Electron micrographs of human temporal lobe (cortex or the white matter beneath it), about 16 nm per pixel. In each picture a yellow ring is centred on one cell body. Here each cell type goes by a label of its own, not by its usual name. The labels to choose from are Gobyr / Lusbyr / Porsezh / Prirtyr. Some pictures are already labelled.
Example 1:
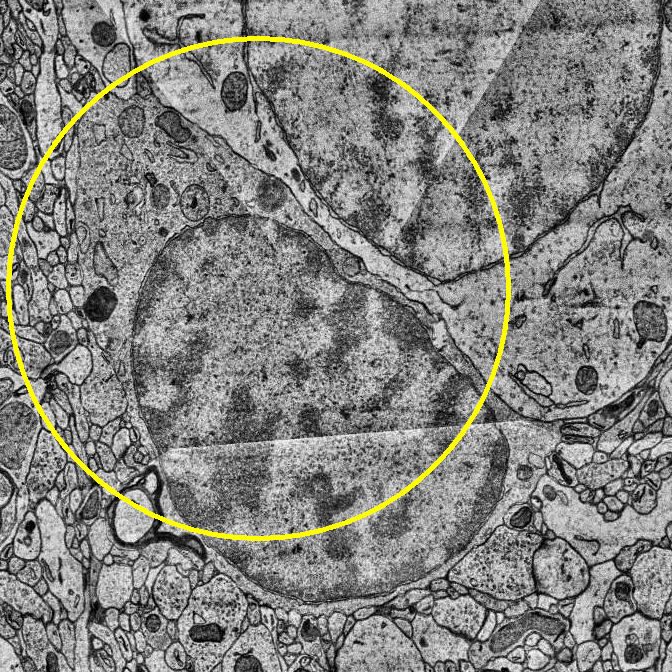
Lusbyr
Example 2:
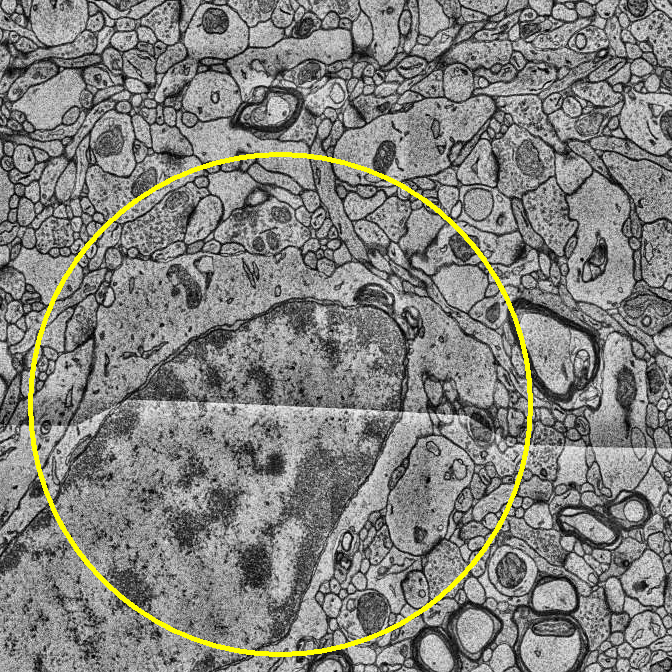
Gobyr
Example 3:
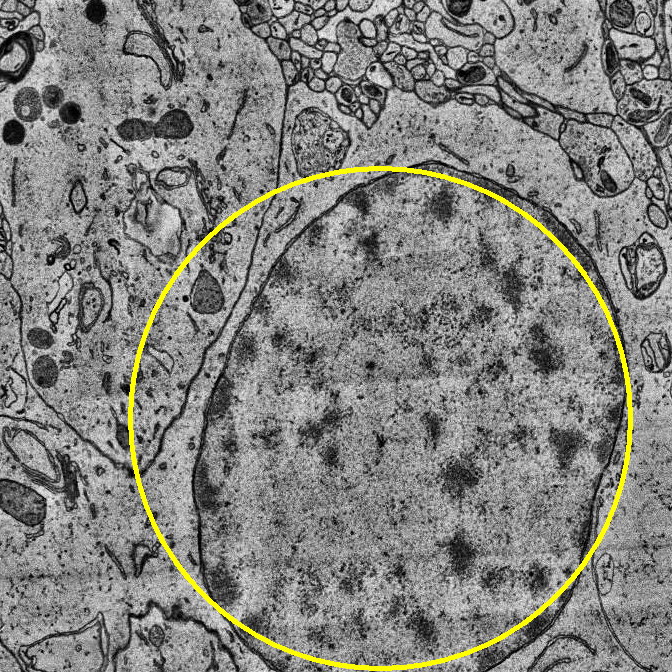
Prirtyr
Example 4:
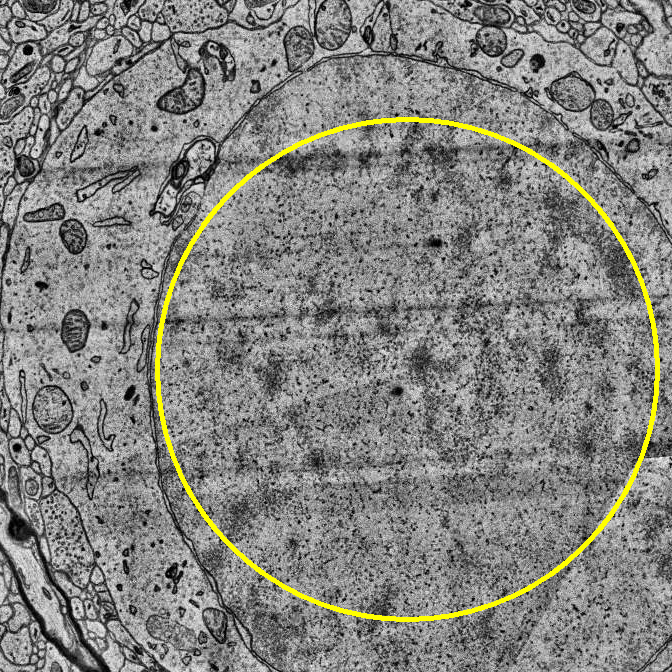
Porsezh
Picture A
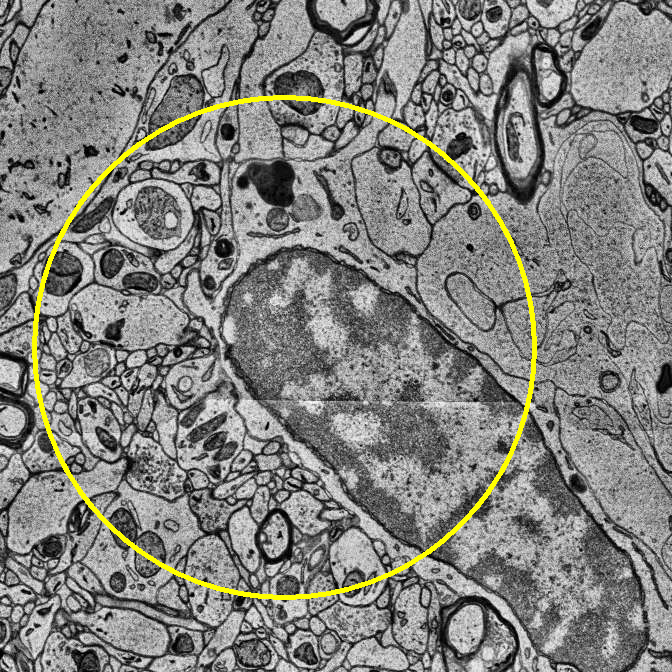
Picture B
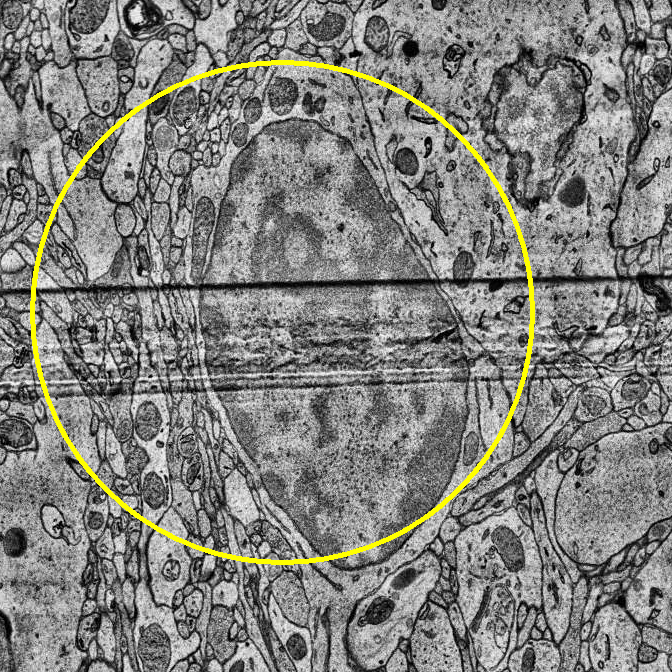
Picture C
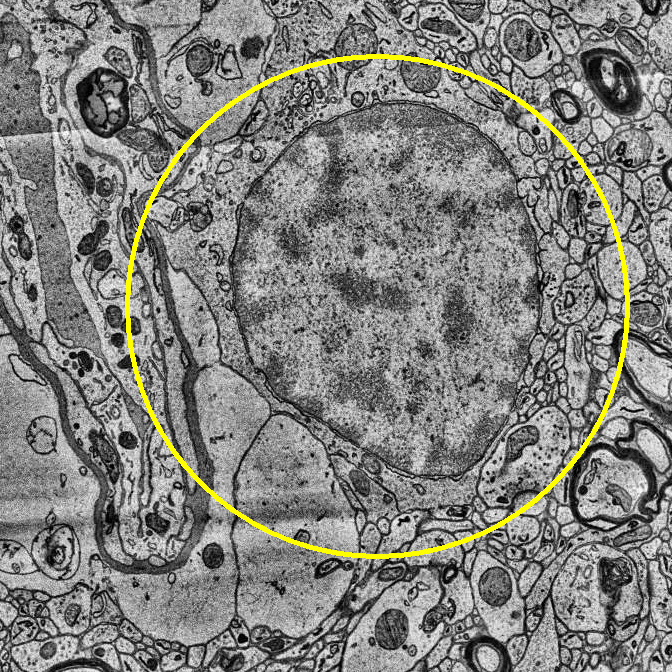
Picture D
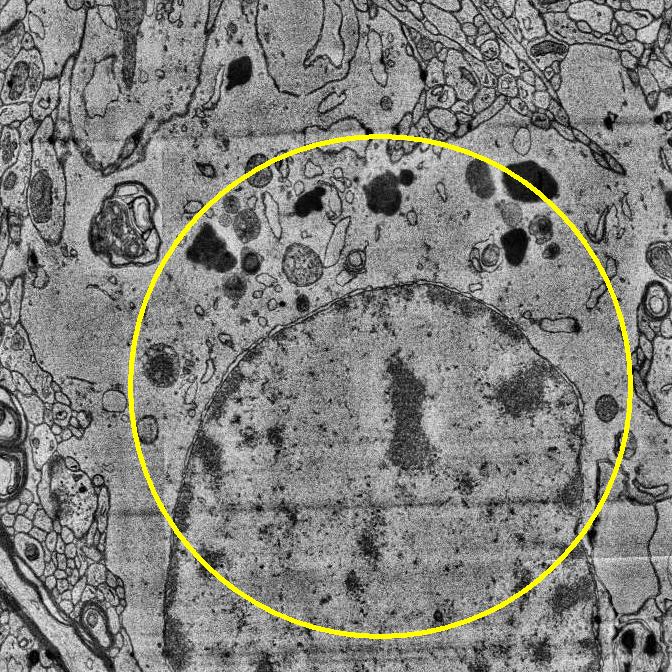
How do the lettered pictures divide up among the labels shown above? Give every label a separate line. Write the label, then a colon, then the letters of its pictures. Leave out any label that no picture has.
Gobyr: A, B
Lusbyr: C
Prirtyr: D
